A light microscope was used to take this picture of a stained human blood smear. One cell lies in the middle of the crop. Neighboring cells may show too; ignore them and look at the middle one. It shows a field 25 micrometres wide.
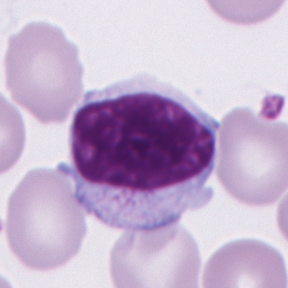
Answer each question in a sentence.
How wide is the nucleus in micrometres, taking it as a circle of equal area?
The diameter of the nucleus comes to about 10 micrometres.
